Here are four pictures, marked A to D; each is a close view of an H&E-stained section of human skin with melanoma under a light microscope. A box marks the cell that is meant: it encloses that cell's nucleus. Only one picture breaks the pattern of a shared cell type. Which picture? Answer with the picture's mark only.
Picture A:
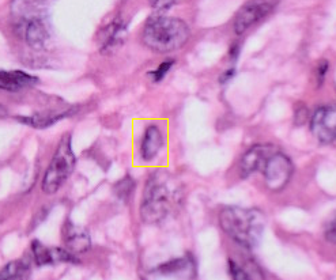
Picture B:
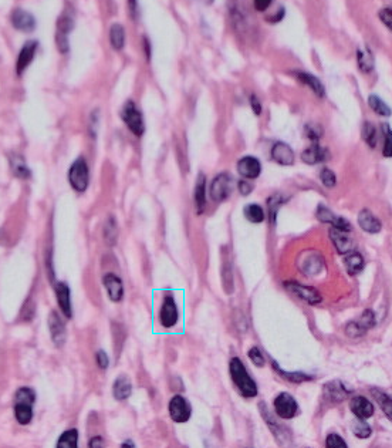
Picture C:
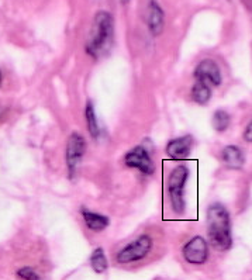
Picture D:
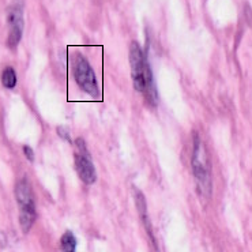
B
